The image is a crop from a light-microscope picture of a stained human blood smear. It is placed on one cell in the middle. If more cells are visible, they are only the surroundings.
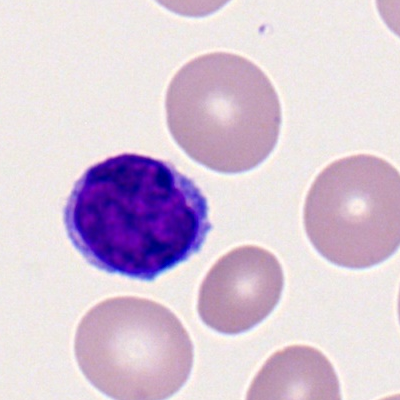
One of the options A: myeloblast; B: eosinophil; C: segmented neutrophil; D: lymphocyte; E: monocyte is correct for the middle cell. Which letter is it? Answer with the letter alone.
D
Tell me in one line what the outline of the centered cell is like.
In outline, the cell is irregular, ragged in stretches or drawn into projections.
